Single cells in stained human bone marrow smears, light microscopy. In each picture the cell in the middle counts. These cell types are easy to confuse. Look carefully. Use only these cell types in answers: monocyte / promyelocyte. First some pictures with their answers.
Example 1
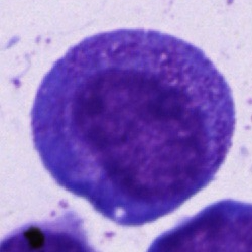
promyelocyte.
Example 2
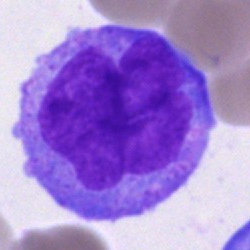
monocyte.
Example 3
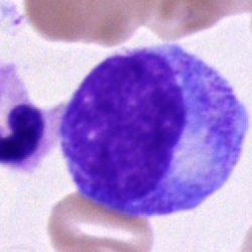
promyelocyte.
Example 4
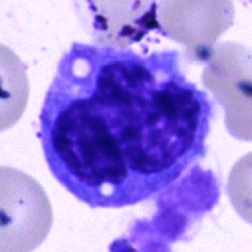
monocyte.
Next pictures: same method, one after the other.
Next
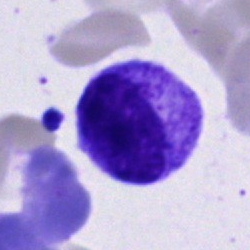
promyelocyte.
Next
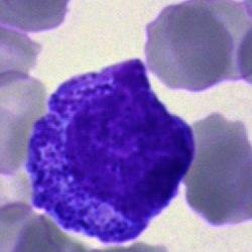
promyelocyte.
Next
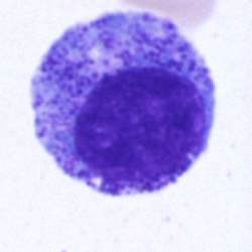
promyelocyte.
